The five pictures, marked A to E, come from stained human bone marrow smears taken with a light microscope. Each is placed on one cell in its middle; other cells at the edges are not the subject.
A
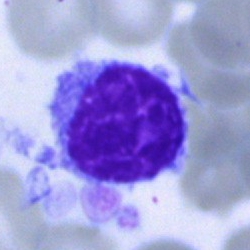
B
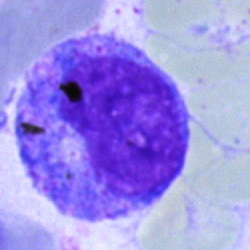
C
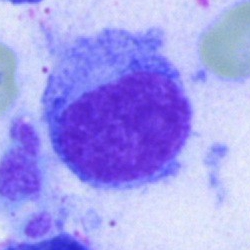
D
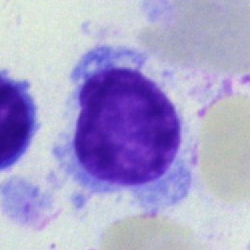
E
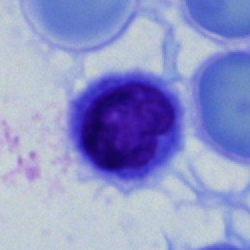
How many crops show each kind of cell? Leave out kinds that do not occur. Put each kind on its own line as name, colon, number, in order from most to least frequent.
hairy cell: 4
promyelocyte: 1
